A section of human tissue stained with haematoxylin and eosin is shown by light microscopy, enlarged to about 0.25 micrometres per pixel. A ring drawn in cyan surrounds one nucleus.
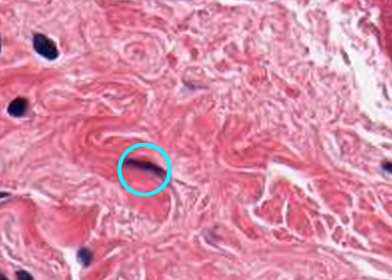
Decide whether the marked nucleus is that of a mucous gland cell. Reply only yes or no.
no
